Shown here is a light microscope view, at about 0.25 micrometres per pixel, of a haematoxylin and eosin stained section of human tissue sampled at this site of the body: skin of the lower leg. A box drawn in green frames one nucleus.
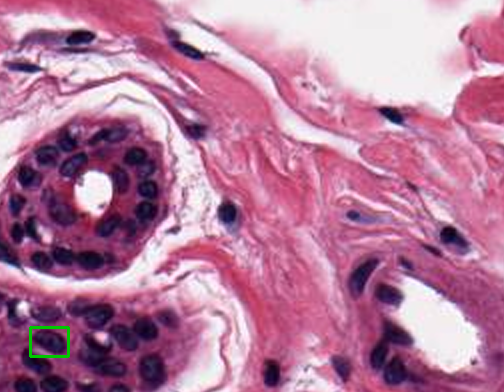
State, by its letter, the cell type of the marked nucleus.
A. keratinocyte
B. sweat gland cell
B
